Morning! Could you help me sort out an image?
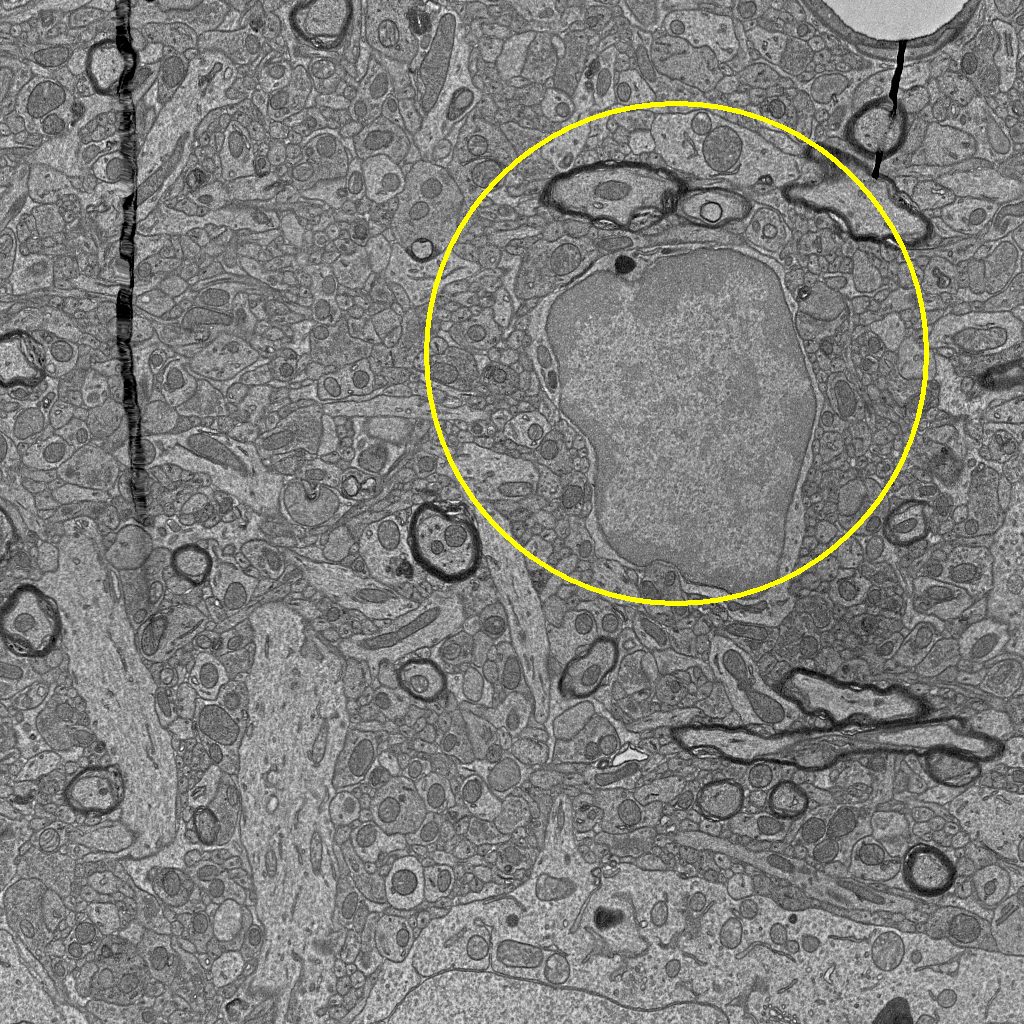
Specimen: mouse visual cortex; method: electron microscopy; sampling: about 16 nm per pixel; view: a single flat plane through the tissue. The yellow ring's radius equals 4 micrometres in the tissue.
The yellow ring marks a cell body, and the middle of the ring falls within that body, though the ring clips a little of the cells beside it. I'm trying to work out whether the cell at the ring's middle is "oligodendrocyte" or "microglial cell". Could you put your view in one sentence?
The cell body at the ring's middle is that of a microglial cell.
